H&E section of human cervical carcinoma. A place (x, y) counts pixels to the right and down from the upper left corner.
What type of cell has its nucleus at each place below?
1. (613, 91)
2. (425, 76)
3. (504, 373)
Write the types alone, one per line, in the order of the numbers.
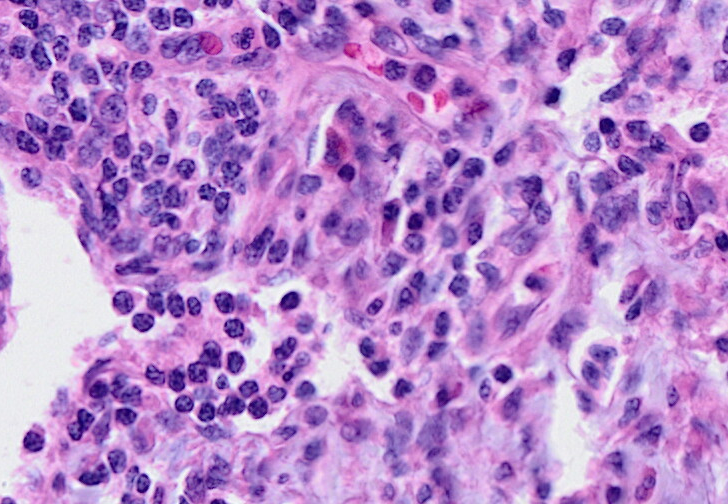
lymphocyte
endothelial cell
lymphocyte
